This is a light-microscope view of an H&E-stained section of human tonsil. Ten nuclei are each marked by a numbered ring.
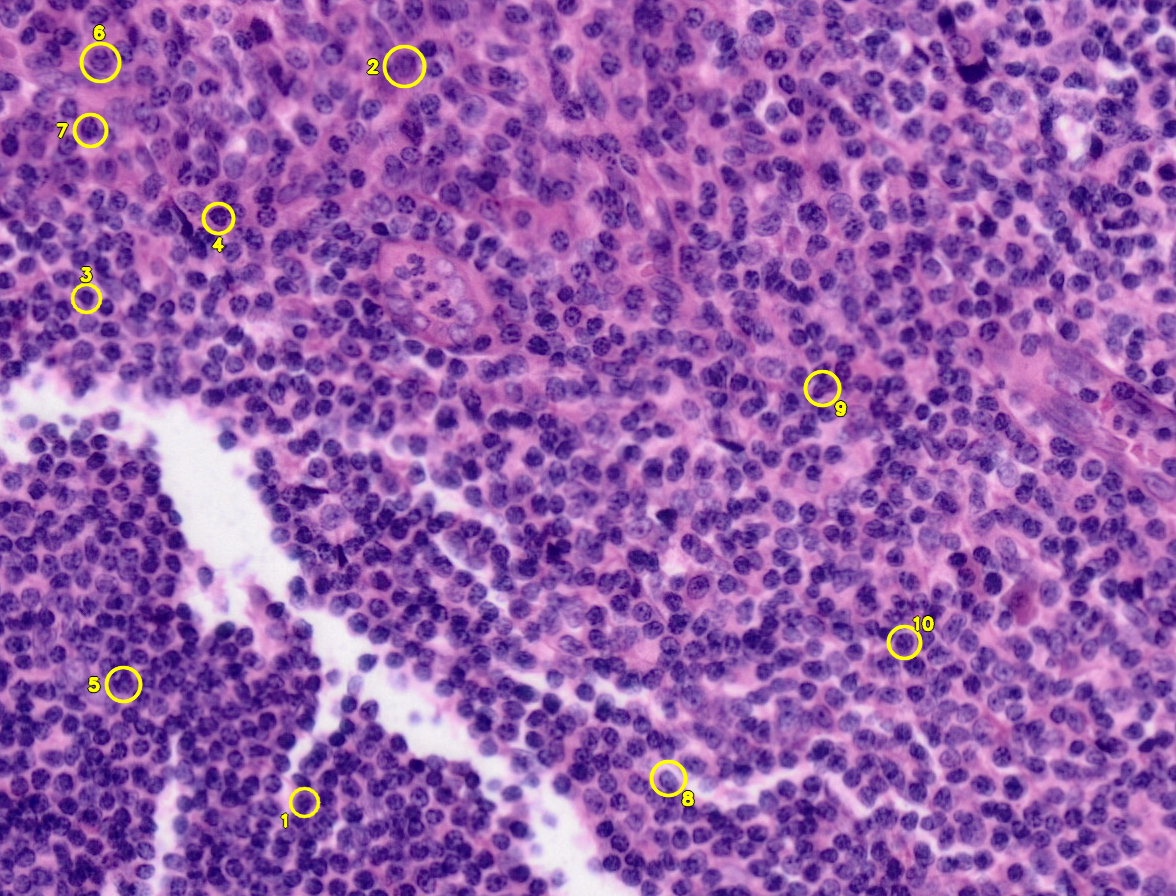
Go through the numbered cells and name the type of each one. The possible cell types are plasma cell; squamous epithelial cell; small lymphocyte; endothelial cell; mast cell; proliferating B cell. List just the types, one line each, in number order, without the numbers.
small lymphocyte
squamous epithelial cell
small lymphocyte
plasma cell
small lymphocyte
plasma cell
plasma cell
small lymphocyte
small lymphocyte
small lymphocyte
